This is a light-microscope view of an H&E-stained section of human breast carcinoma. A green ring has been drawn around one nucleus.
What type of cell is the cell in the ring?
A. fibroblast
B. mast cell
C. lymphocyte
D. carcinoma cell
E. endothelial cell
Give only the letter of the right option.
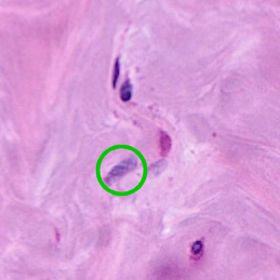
A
